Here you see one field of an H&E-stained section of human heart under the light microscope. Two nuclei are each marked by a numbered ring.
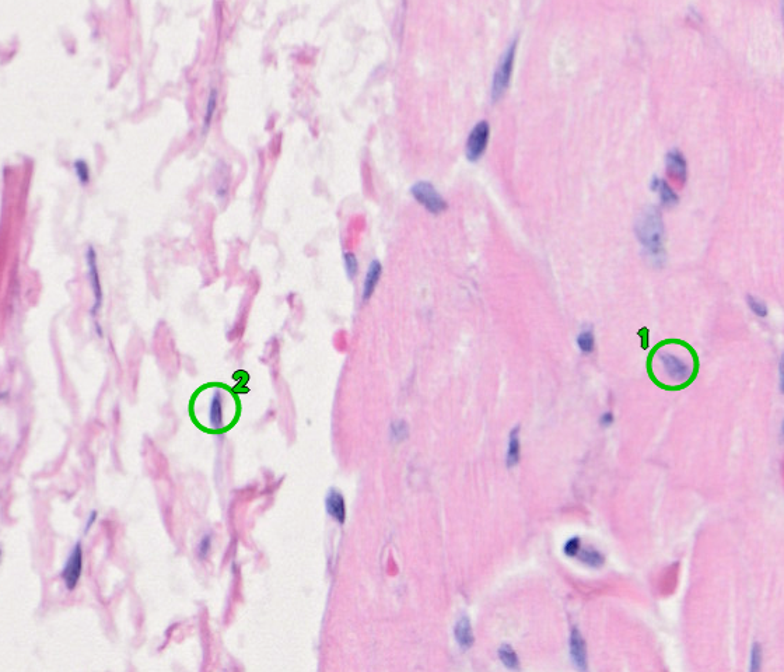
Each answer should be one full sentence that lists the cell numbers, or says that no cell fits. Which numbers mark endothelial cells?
Cell 1 is an endothelial cell; every other numbered cell is something else.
